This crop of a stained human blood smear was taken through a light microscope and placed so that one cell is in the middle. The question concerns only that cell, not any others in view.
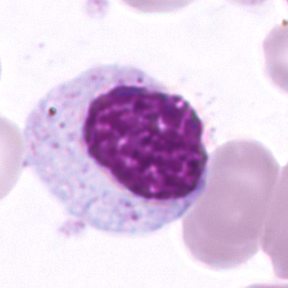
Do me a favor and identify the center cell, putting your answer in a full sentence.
Classification of the middle cell gives a myelocyte.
